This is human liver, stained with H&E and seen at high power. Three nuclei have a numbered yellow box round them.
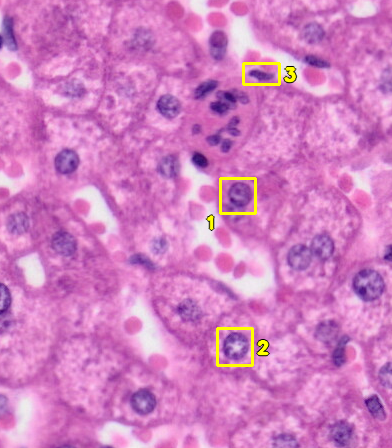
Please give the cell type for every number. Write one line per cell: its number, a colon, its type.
1: hepatocyte
2: hepatocyte
3: endothelial cell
